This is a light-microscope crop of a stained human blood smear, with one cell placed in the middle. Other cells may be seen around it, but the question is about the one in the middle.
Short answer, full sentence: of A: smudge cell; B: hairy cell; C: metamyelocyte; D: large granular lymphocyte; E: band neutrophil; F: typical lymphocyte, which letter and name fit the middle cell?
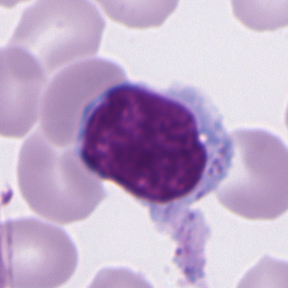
Given that the cell in the middle is a large granular lymphocyte, option D is correct.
